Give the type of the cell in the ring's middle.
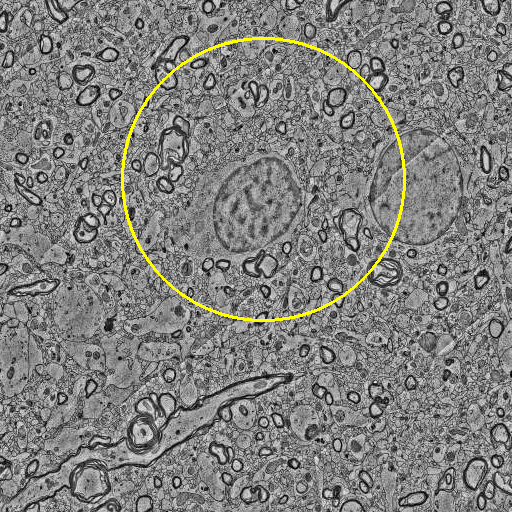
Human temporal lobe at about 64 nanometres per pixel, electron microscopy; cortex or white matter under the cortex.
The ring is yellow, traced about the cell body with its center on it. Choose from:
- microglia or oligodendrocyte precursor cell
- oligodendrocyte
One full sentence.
Here, an oligodendrocyte is the cell lying at the center of the yellow ring.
